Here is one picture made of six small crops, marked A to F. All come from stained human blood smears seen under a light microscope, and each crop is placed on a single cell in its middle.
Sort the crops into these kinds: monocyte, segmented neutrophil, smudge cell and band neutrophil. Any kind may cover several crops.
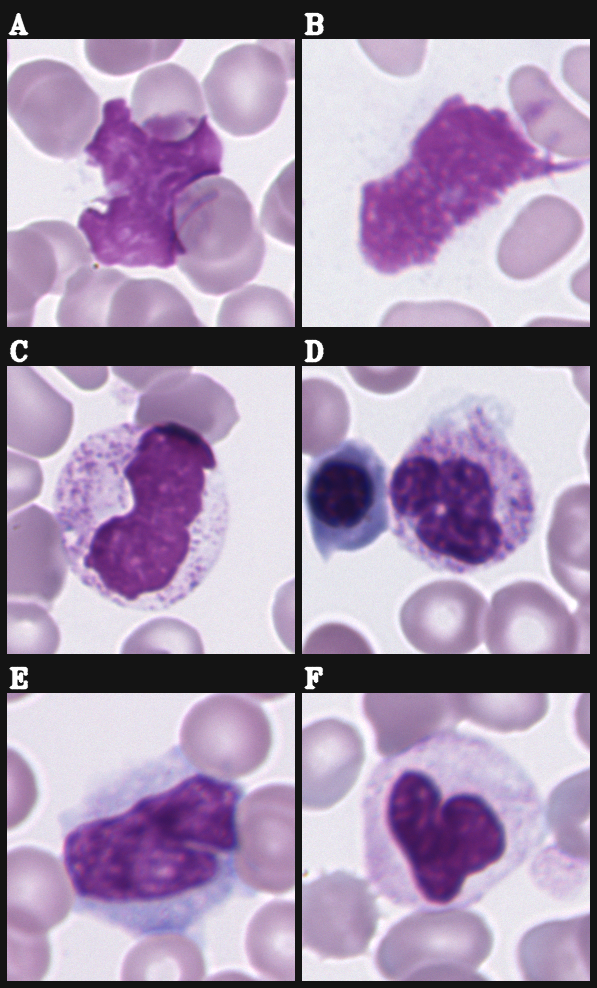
A: smudge cell
B: smudge cell
C: band neutrophil
D: segmented neutrophil
E: monocyte
F: segmented neutrophil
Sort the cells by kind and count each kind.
smudge cell: 2
segmented neutrophil: 2
band neutrophil: 1
monocyte: 1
